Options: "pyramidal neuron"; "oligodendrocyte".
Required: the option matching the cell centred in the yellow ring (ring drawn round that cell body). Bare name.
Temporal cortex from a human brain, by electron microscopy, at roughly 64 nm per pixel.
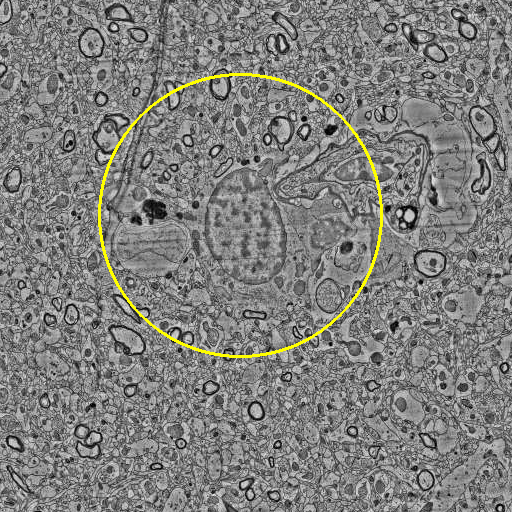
oligodendrocyte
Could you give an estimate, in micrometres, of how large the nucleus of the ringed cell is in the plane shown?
Approximately 7 micrometres long and 5 micrometres wide, in this plane.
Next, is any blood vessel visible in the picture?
Yes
